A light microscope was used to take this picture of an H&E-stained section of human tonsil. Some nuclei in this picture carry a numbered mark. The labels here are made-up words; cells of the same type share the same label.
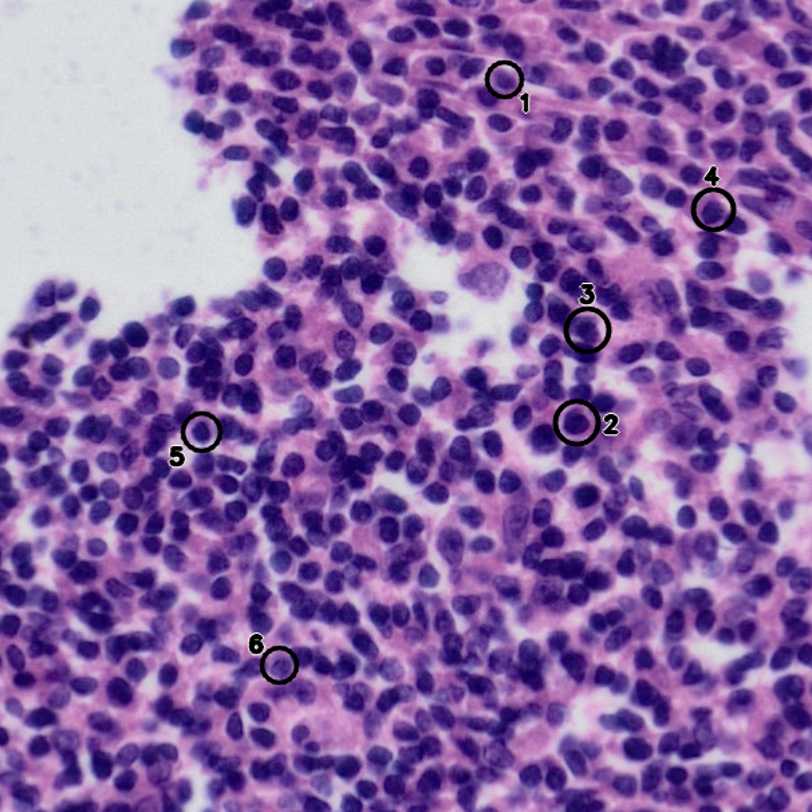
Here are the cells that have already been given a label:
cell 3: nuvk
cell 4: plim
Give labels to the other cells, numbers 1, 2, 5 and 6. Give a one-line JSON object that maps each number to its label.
{"1": "plim", "2": "nuvk", "5": "nuvk", "6": "nuvk"}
